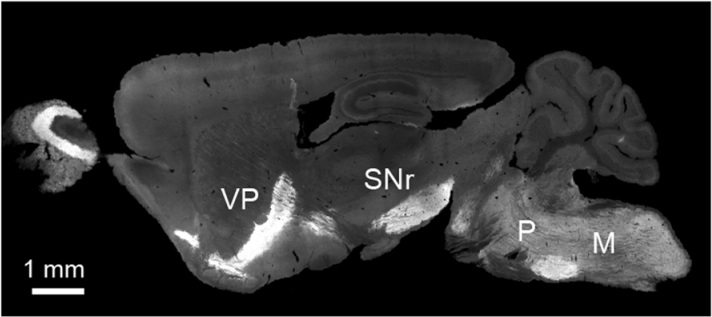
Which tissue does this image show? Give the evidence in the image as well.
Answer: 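Brain. A whole lengthwise section with folded cerebellum at the back. The olfactory bulb sits at the front end. The curved hippocampus lies beneath the cortex.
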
